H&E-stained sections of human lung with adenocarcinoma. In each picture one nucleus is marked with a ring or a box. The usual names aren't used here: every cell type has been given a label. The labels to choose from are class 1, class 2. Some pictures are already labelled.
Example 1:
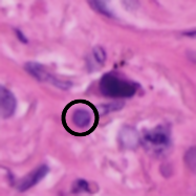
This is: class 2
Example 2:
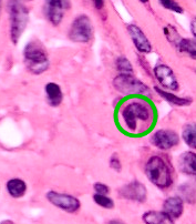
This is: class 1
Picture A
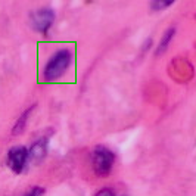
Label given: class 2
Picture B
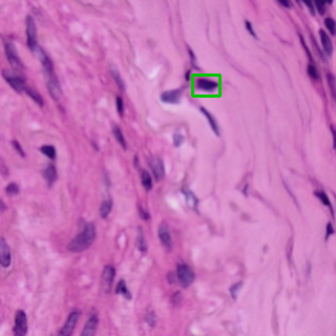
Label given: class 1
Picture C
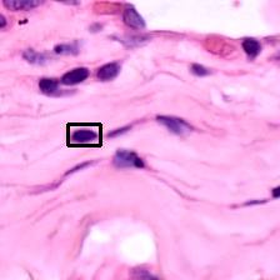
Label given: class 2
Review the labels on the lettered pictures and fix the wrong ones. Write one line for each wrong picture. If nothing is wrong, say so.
B: class 2, not class 1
